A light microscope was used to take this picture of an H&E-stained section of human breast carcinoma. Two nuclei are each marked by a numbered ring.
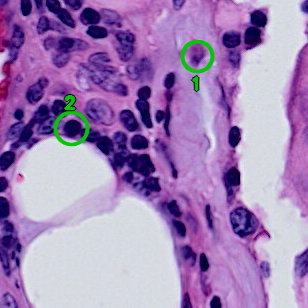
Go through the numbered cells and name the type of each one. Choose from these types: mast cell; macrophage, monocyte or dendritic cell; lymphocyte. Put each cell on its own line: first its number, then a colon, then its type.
1: mast cell
2: lymphocyte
